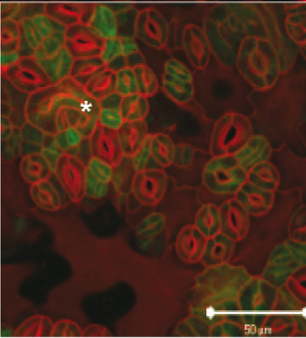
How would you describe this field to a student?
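Many are pairs of kidney-shaped guard cells around a slit-like pore; others are small undivided oval cells without a pore. Green fluorescence fills many of these small cells, often stronger in the undivided ones, while the larger cells between the clusters are dark. Some stomata touch each other directly, which is unlike the normal spacing of one stoma apart from the next.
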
